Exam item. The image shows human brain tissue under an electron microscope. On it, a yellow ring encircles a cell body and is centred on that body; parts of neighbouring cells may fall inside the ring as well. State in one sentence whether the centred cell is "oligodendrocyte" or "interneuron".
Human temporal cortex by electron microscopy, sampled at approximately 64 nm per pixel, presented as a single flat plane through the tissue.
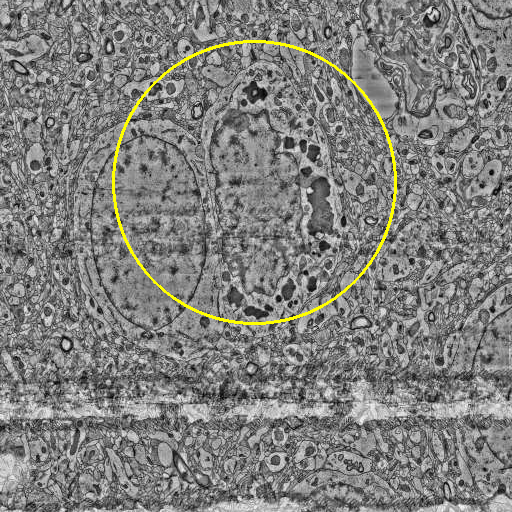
The cell body centred in the ring is an interneuron.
